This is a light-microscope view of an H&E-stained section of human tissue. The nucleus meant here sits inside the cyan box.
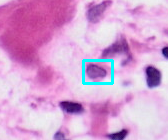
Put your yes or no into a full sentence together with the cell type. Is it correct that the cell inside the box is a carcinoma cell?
No, the cell inside the box counts as a macrophage or monocyte, not a carcinoma cell.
